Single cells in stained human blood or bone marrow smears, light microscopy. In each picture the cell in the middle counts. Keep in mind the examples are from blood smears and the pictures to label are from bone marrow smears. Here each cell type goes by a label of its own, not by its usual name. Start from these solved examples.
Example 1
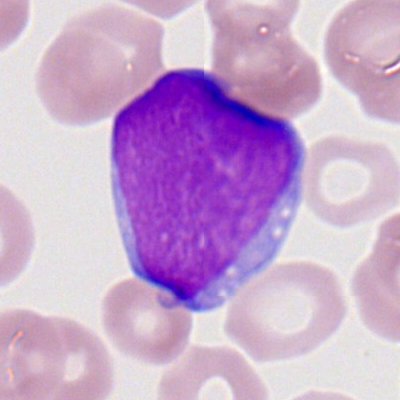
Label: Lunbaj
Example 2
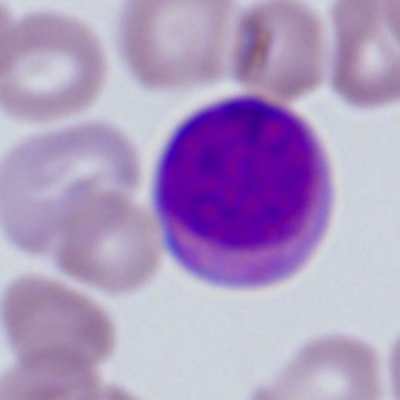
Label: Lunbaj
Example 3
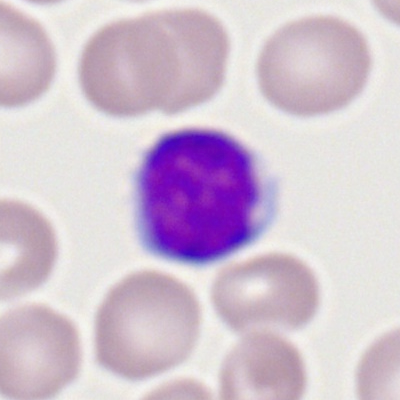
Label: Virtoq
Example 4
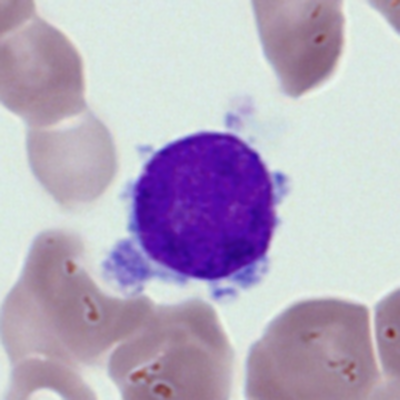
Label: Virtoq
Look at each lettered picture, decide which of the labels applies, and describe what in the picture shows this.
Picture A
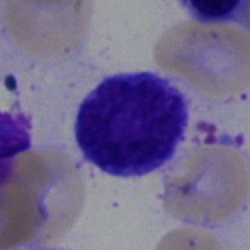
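Label: Virtoq. The chromatin is dark purple and coarsely clumped.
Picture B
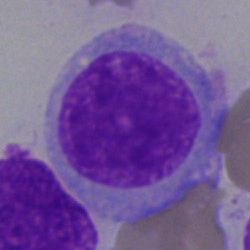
Label: Lunbaj. The chromatin is finely stippled with only small darker patches rather than coarse blocks.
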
